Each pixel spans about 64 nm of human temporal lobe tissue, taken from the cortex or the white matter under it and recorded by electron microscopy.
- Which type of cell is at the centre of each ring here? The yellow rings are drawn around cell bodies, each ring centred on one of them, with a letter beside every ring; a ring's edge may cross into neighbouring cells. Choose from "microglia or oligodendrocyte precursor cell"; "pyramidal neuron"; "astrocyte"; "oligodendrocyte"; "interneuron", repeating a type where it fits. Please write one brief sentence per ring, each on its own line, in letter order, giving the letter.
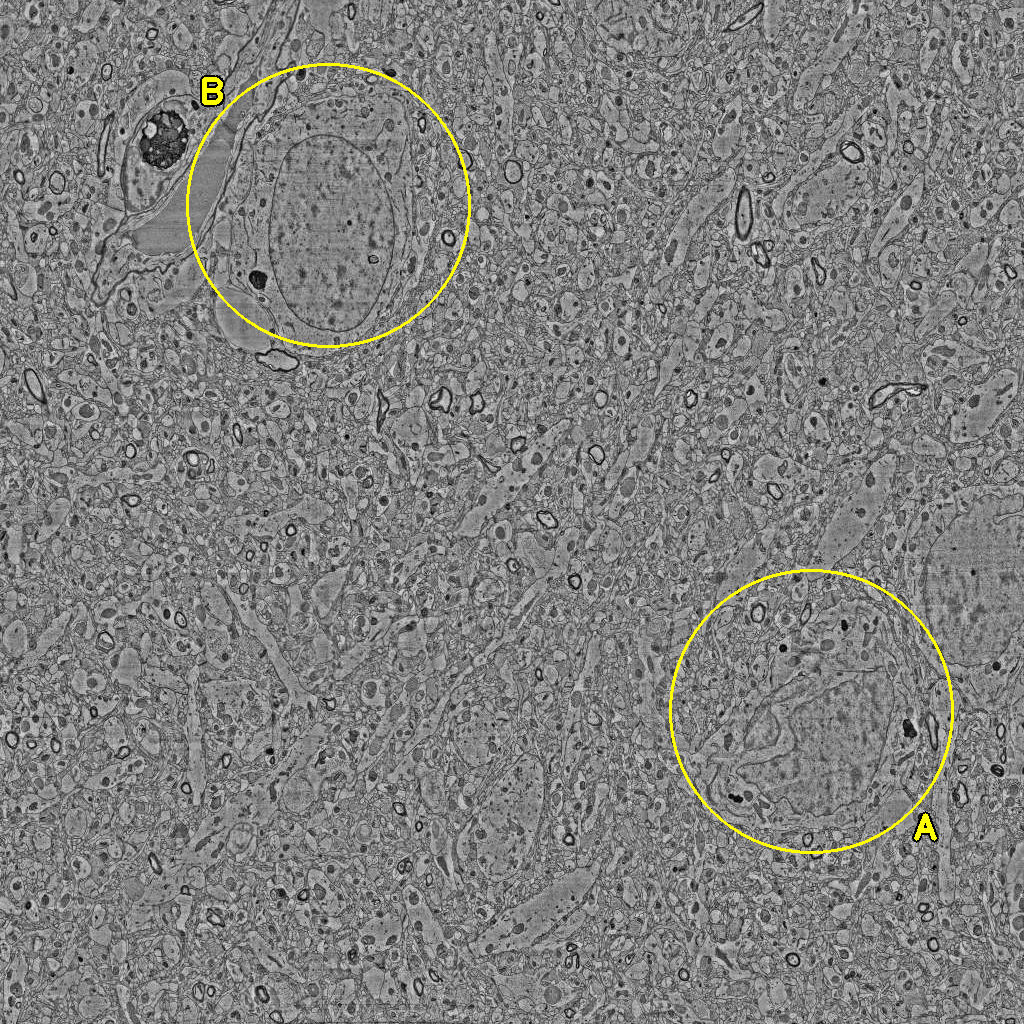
Ring A is centred over an interneuron.
Ring B is centred over a pyramidal neuron.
